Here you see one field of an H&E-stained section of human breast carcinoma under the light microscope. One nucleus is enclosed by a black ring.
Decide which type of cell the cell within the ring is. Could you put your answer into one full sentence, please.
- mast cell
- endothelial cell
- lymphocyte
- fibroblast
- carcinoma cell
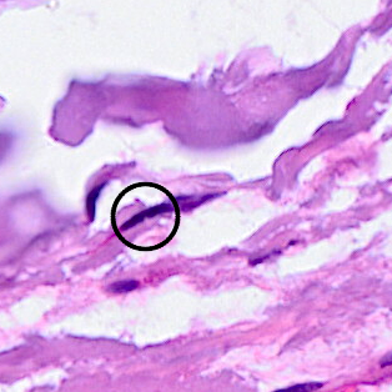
In this tissue section, the cell within the ring is to be classed as a fibroblast.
